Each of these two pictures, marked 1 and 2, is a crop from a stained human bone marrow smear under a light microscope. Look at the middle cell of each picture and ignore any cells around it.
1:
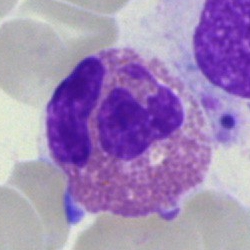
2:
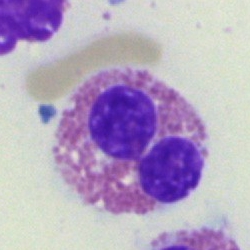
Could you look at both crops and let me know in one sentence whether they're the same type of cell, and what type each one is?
Yes, both crops show eosinophils as the central cells.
